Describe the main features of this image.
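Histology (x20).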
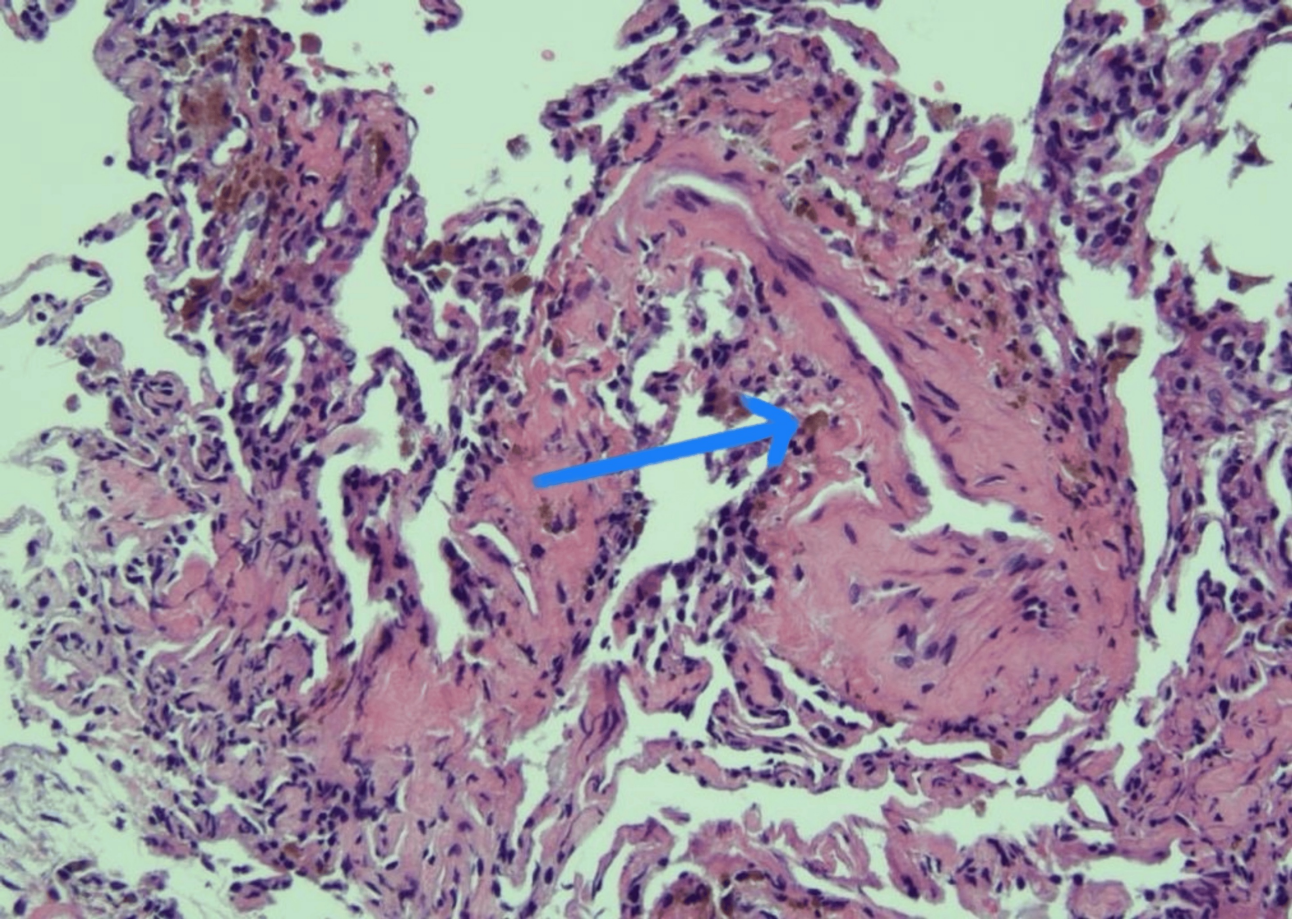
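This section shows hemosiderin-laden macrophages and inflammatory cells around blood vessels, set in a tissue of thin branching septa around open, empty spaces. Near the centre, a vessel sits within a thick band of pink, fibrous, eosinophilic material with spindle-shaped nuclei. At the blue arrow and elsewhere, especially at upper left, cells hold coarse golden-brown granular pigment. The septa and the tissue around the vessel are crowded with many small, dark-purple nuclei.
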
